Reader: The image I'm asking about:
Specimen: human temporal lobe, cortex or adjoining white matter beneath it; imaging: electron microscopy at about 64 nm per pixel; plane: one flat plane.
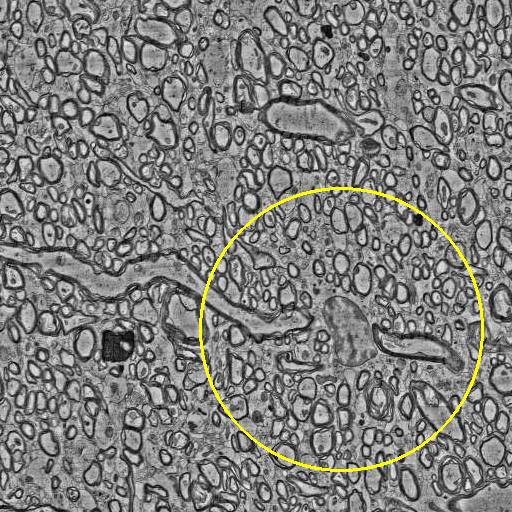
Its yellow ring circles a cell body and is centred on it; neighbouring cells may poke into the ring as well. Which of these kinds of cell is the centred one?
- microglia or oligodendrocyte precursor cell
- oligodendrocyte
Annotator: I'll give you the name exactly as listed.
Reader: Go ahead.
microglia or oligodendrocyte precursor cell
